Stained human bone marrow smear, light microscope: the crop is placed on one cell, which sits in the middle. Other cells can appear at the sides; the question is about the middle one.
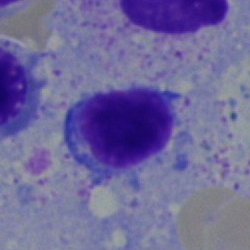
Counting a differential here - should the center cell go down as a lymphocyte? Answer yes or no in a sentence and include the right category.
Yes, the cell lying in the centre of the crop is identified as a lymphocyte.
